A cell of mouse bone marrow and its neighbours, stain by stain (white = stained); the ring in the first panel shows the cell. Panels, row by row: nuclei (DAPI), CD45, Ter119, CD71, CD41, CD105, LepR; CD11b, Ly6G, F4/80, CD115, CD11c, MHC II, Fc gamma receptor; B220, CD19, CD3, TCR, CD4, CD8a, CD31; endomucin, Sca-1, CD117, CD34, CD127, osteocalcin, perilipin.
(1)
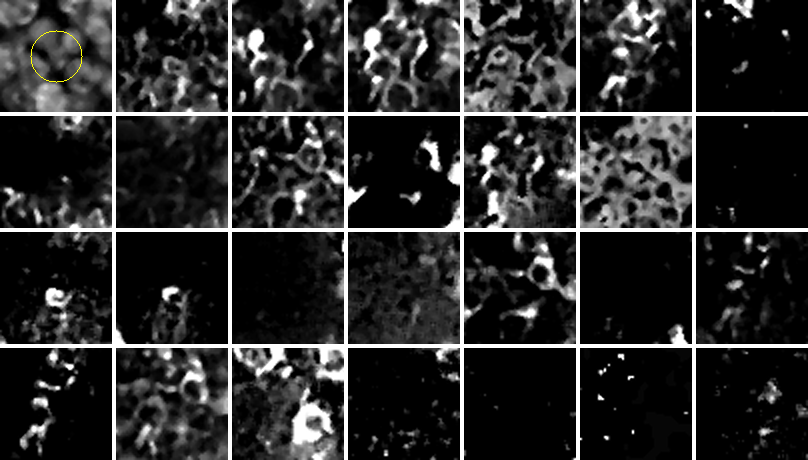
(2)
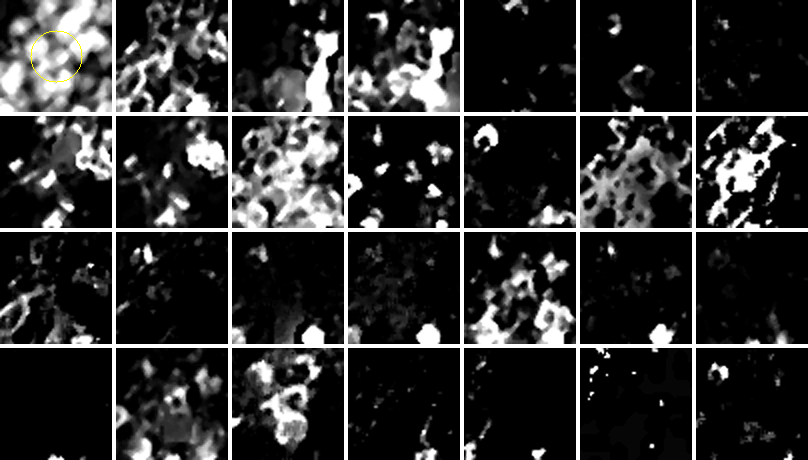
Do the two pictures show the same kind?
Yes, both are erythroid progenitors (CFU-E).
